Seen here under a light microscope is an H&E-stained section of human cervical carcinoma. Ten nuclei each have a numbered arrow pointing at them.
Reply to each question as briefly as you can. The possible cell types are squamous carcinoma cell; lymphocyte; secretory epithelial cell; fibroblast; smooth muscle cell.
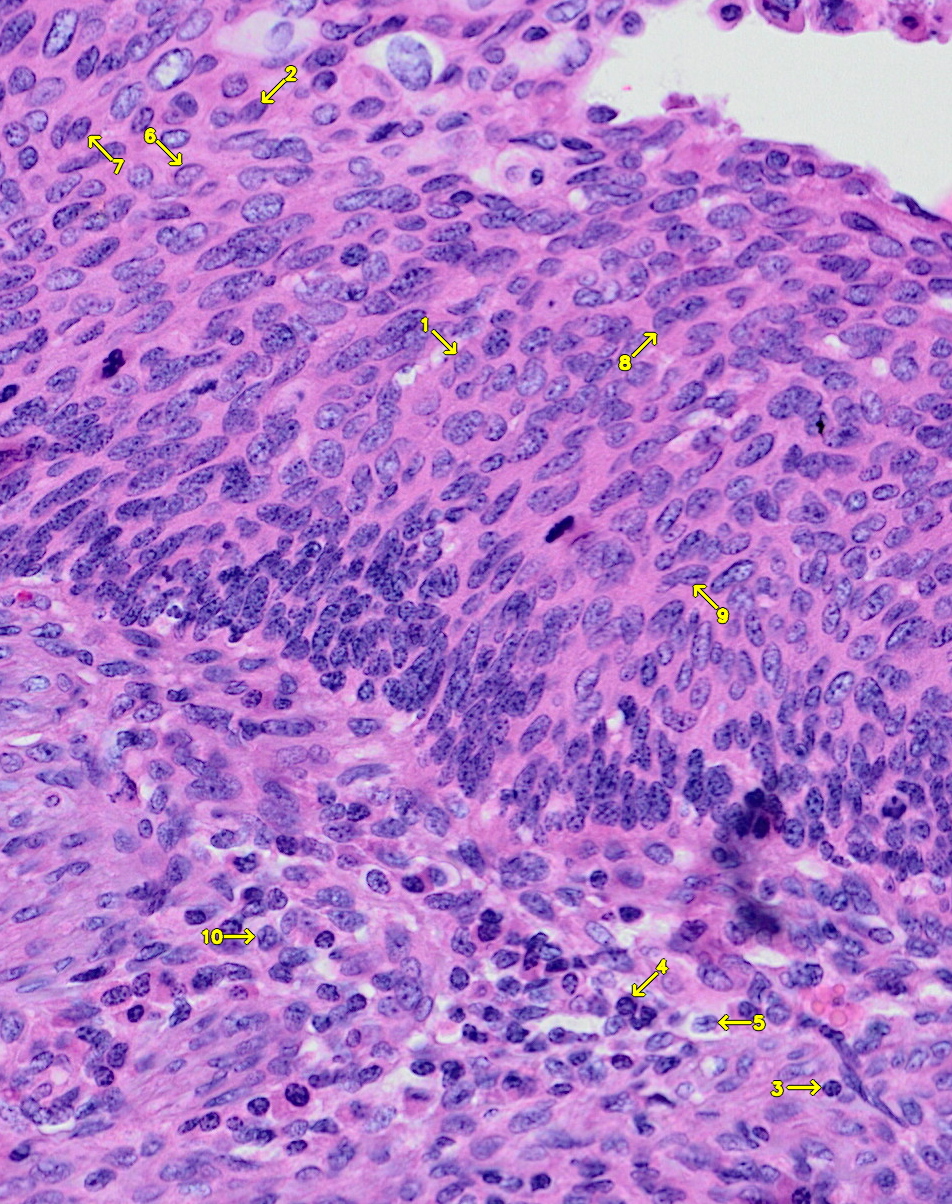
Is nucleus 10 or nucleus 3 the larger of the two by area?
10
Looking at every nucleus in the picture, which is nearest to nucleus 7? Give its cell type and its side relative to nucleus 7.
a squamous carcinoma cell, to the left of nucleus 7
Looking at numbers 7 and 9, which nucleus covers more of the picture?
9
